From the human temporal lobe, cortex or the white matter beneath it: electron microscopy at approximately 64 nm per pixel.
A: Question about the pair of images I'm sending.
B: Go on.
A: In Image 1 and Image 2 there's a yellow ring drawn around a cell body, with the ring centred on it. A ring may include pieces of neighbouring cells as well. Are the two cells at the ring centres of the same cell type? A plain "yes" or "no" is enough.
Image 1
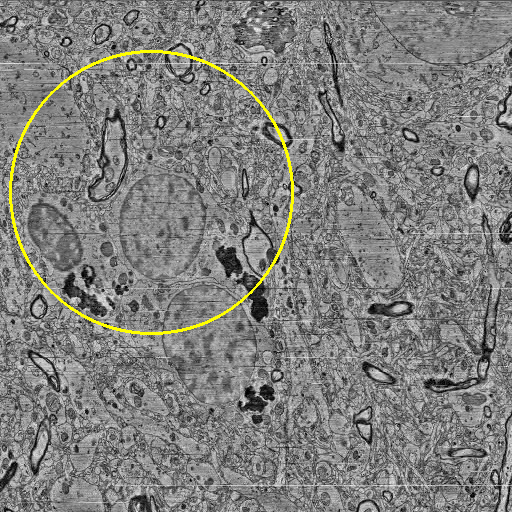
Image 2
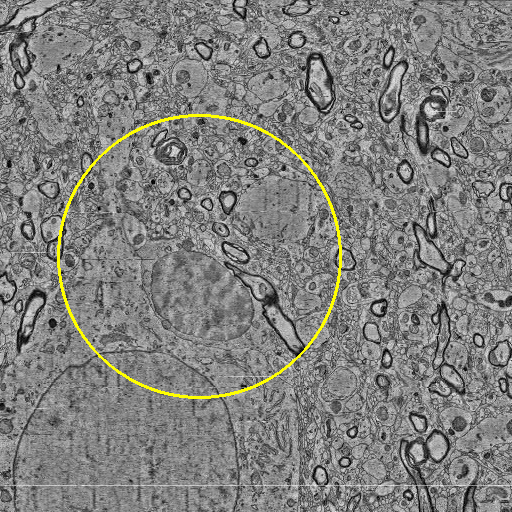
yes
